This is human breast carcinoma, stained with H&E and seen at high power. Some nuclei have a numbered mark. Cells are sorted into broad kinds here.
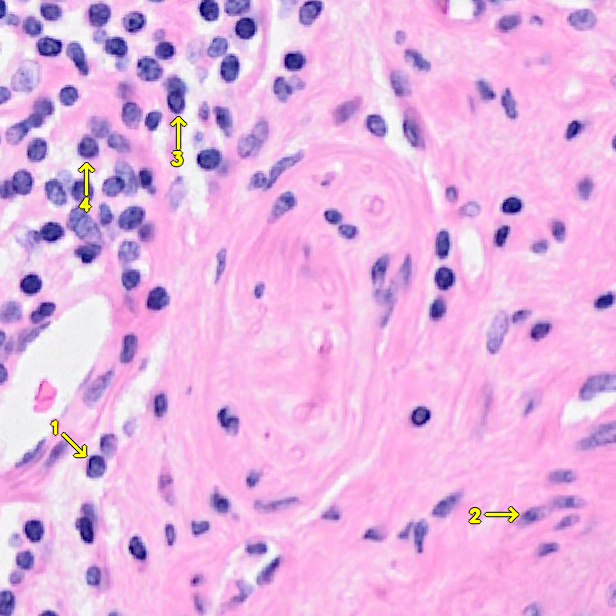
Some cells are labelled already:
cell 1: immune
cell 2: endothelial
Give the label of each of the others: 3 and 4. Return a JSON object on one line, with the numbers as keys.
{"3": "immune", "4": "immune"}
